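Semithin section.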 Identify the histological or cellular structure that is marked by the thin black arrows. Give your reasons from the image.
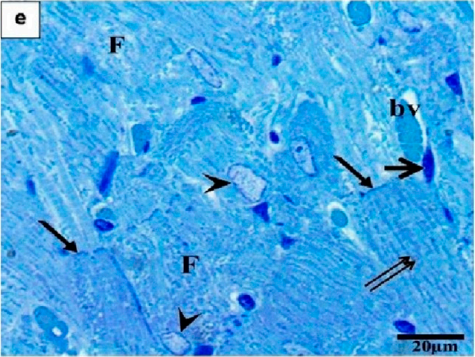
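The thin arrows point at dark lines running across the fibres. The lines cross the fibre at right angles to its long axis.
Answer: intercalated disk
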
